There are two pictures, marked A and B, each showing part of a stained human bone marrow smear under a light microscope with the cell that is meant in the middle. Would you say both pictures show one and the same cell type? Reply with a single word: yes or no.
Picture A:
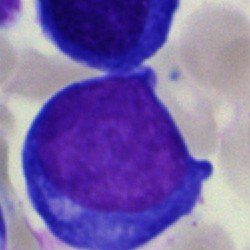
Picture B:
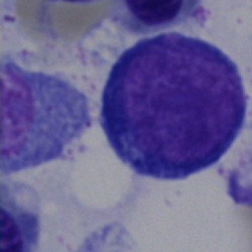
yes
